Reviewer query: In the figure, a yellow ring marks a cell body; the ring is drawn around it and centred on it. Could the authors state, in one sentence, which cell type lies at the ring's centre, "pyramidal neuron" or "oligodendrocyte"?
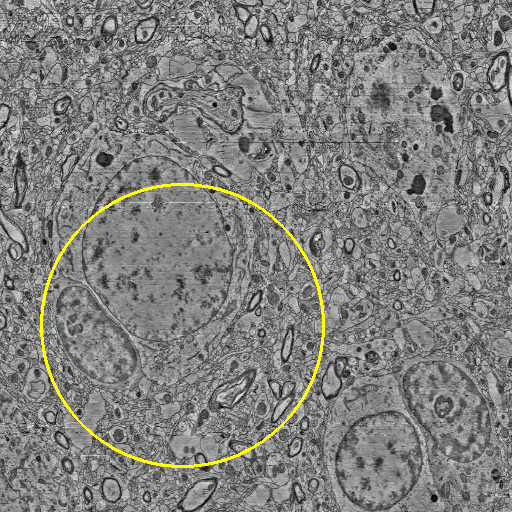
The ring is centred on a pyramidal neuron.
